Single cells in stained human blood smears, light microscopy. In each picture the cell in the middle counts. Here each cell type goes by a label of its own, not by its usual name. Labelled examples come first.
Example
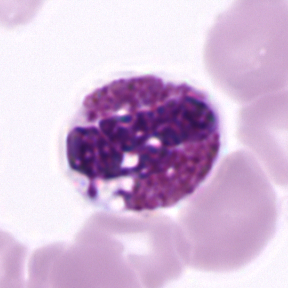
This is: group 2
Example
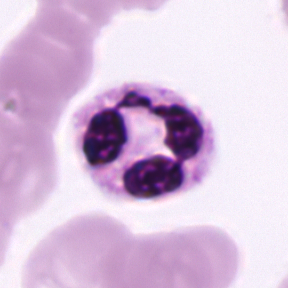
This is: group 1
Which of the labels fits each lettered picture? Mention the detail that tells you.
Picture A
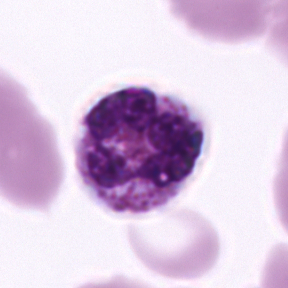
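group 2. Evidence: Coarse purple-red granules lie in the cytoplasm and over the nucleus.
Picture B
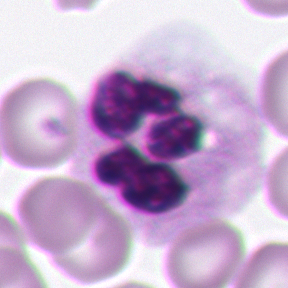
group 1. Evidence: The cytoplasm contains only fine, faint granules.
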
